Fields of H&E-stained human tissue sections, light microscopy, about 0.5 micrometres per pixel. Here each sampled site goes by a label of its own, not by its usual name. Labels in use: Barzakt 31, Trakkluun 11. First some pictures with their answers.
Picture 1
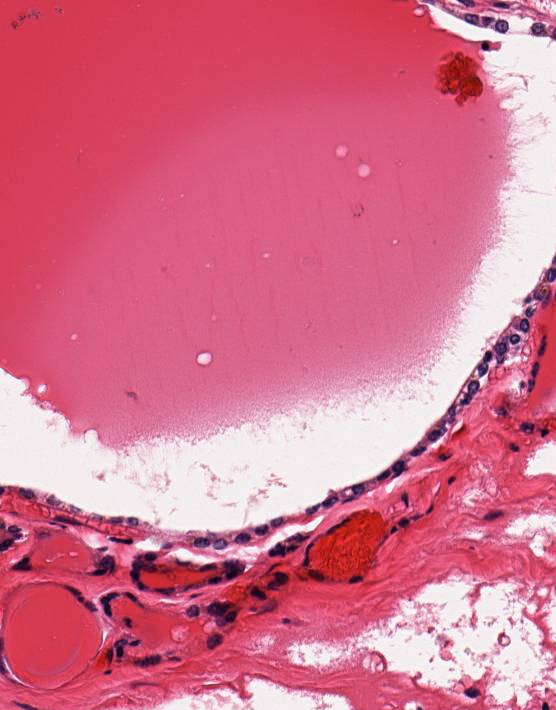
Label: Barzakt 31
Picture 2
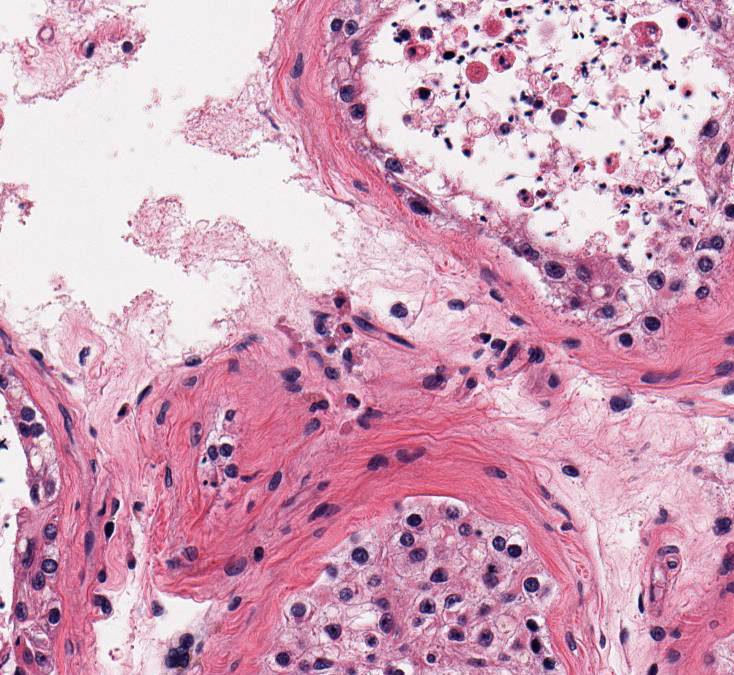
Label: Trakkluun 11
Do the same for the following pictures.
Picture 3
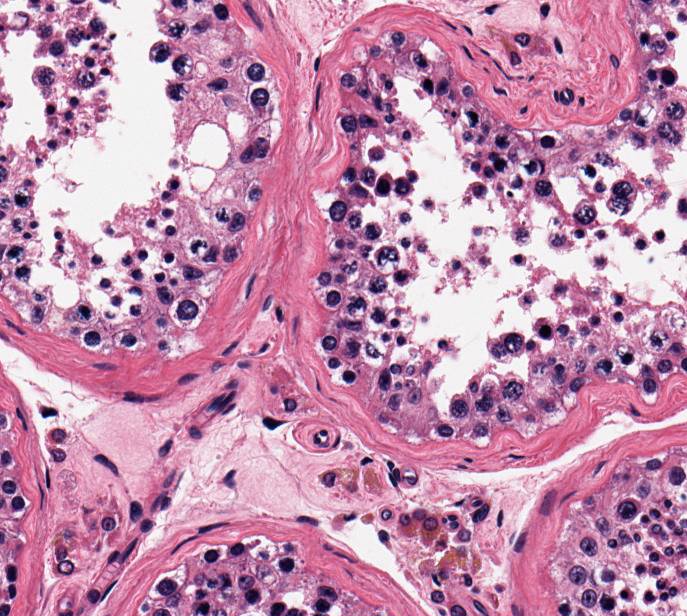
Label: Trakkluun 11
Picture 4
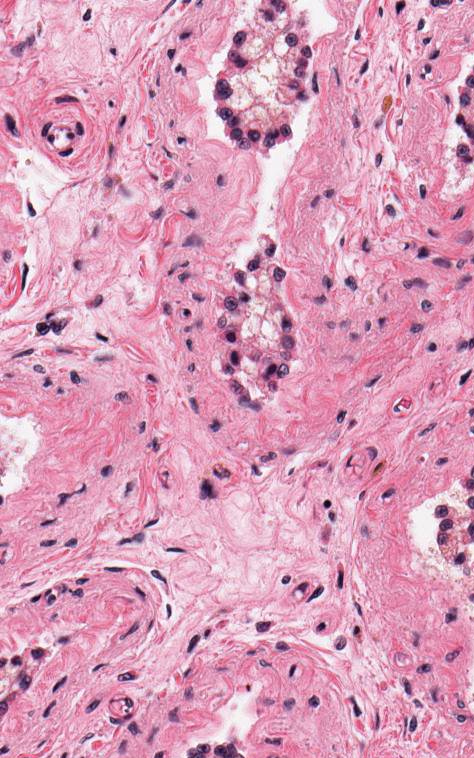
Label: Trakkluun 11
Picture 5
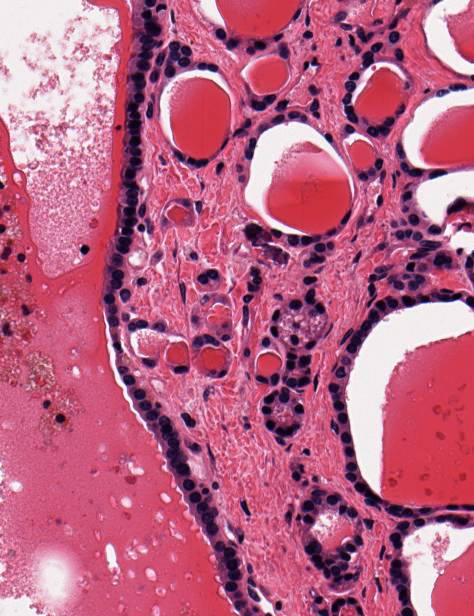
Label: Barzakt 31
